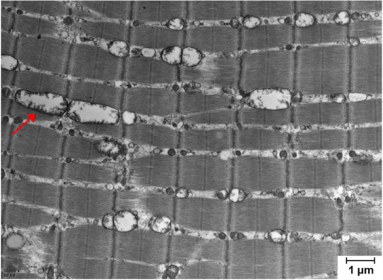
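Parallel striated myofibrils with regular dark and light bands run across the field, and between them lie rows of membrane-bound organelles of very different sizes. Many are enlarged and pale, almost empty inside, with only scraps of internal membrane left. These are skeletal muscle mitochondria, many of them empty or with discontinued cristae.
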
